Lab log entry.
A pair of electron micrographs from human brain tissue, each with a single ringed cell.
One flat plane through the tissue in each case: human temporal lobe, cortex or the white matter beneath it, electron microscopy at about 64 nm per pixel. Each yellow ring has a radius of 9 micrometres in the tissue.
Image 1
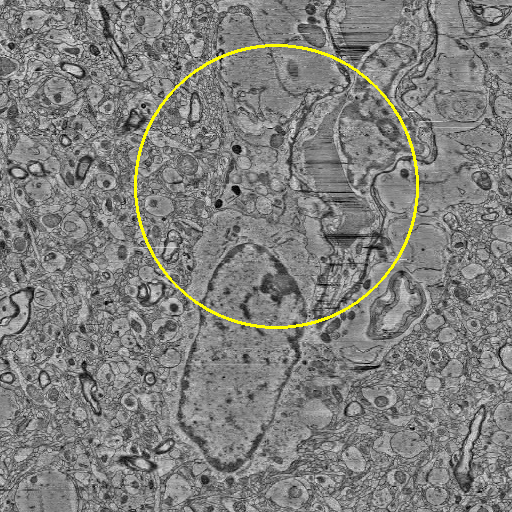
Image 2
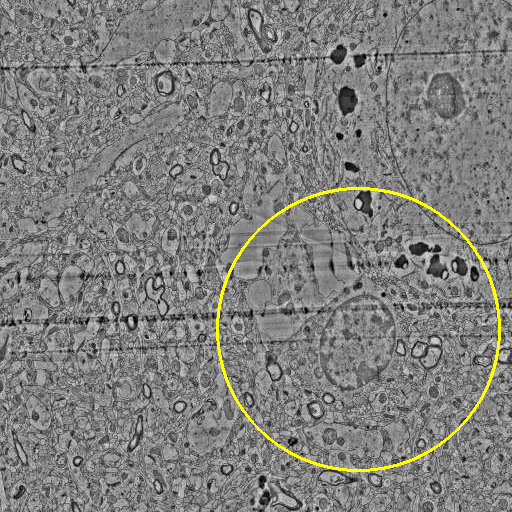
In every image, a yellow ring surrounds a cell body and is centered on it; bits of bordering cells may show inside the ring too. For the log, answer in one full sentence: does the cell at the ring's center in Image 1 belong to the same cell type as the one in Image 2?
No, the cells at the ring centers in Image 1 and Image 2 are of separate types.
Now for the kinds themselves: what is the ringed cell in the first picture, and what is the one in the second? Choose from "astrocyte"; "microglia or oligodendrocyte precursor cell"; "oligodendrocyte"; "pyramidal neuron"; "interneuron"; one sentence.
Here the first cell is a microglial cell or oligodendrocyte precursor cell and the second cell is an oligodendrocyte.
